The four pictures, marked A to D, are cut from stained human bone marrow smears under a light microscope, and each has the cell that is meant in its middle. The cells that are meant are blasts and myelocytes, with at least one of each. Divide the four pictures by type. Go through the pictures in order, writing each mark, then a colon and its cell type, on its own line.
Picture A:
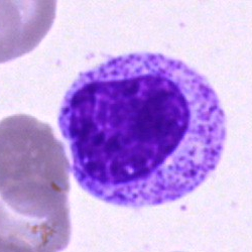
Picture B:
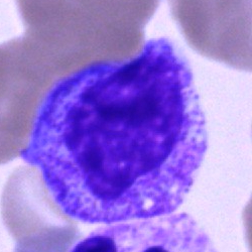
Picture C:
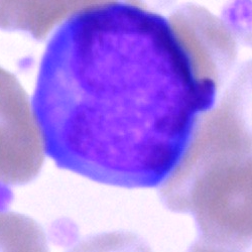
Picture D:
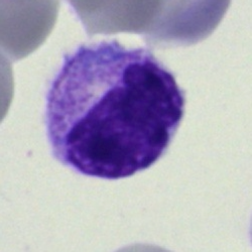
A: myelocyte
B: myelocyte
C: blast
D: myelocyte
